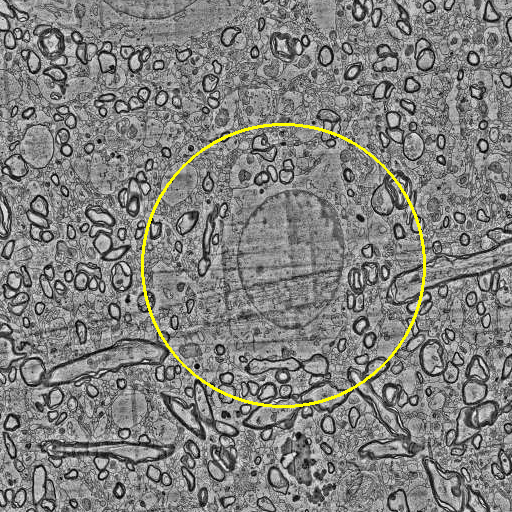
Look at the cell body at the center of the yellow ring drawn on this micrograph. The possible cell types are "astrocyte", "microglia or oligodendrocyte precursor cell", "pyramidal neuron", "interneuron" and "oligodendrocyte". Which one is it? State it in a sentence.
The cell in the middle of the ring is an astrocyte.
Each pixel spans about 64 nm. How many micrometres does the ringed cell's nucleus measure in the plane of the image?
In this plane the nucleus measures roughly 9 by 7 micrometres.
